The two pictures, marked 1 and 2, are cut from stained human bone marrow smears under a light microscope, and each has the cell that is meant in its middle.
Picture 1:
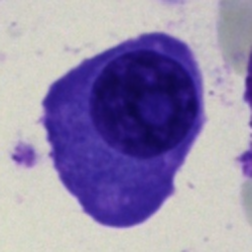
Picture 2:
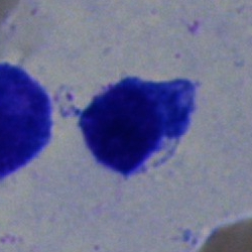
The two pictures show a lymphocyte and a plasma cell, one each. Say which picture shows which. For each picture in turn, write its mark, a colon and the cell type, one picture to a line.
1: plasma cell
2: lymphocyte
